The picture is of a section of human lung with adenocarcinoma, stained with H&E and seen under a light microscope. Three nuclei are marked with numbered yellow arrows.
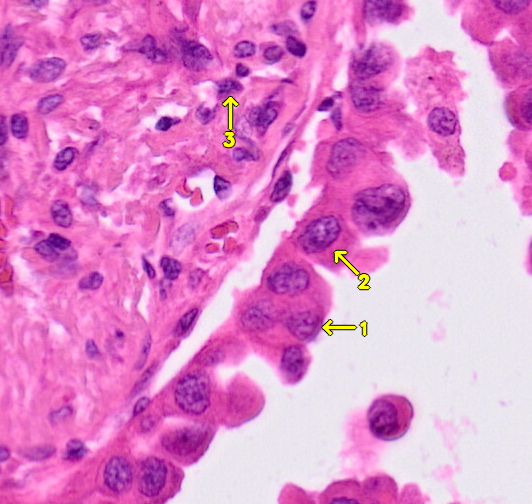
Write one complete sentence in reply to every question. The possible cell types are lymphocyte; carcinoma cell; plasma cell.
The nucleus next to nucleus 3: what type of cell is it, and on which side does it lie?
A lymphocyte lies closest, above and to the right of nucleus 3.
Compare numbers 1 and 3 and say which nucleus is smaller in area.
Number 3 is smaller, since number 1 takes up about 2.5 times as much area.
